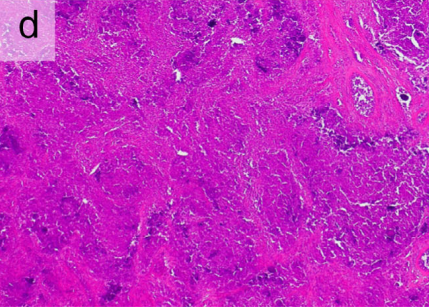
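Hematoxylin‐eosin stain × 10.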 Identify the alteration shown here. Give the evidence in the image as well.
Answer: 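Broad pink areas without clear nuclei. Faint ghost outlines of tissue with scattered bluish debris. So: Coagulative necrosis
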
